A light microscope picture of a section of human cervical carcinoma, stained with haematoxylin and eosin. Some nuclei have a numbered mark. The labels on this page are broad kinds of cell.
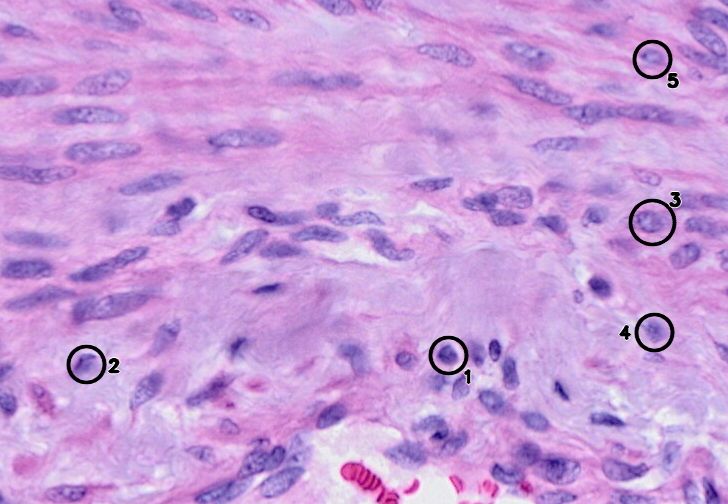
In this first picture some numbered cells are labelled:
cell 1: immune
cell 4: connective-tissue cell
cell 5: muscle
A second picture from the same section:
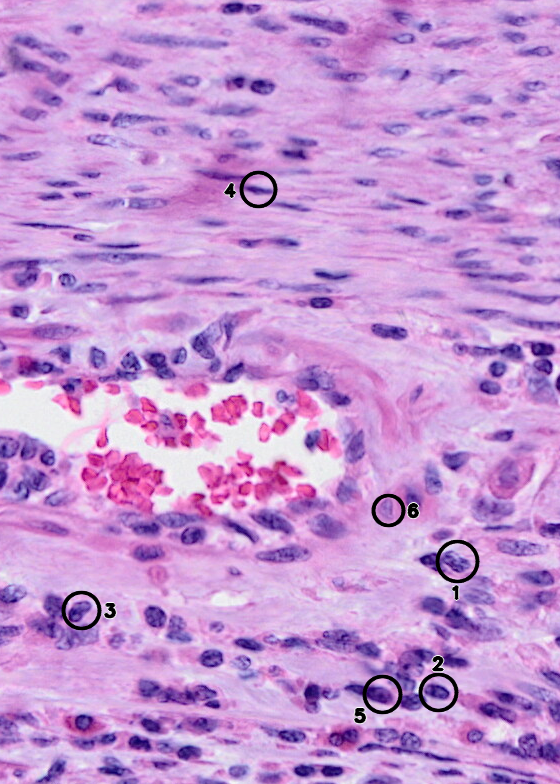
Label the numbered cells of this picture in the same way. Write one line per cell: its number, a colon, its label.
1: immune
2: immune
3: immune
4: connective-tissue cell
5: immune
6: muscle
